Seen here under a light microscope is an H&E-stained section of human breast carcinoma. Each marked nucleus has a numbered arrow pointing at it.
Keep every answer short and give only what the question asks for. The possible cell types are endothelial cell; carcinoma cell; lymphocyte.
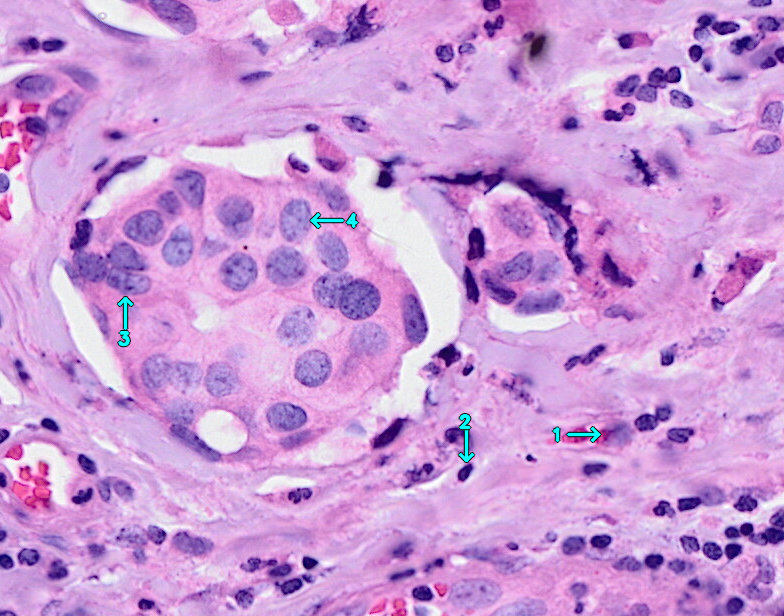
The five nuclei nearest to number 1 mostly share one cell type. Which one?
lymphocyte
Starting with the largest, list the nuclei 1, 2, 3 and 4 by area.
4, 3, 1, 2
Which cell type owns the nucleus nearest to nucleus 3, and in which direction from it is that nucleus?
a carcinoma cell, above nucleus 3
